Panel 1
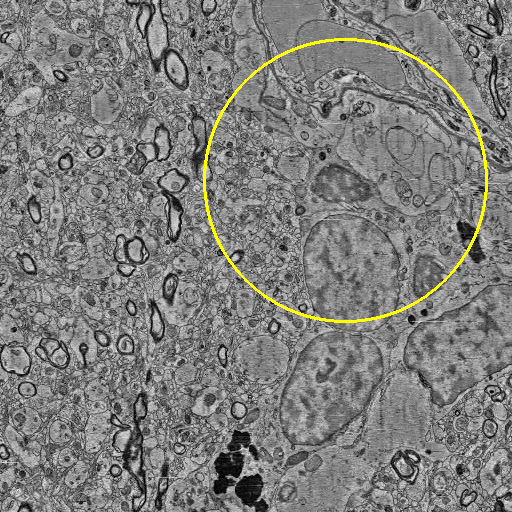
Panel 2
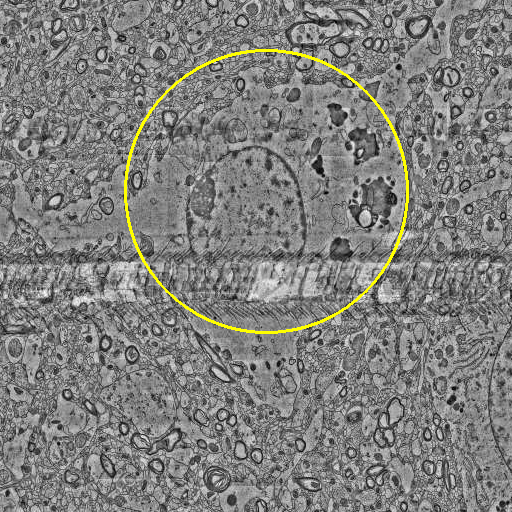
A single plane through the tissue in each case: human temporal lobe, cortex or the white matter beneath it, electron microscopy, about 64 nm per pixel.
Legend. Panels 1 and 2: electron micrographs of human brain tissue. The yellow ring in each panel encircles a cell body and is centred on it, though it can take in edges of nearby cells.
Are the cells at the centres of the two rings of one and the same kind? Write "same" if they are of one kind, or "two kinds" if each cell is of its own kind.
two kinds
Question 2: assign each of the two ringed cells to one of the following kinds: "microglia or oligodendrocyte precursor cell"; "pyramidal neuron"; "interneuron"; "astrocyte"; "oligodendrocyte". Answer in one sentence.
The two cells are an oligodendrocyte in the first picture and an astrocyte in the second.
